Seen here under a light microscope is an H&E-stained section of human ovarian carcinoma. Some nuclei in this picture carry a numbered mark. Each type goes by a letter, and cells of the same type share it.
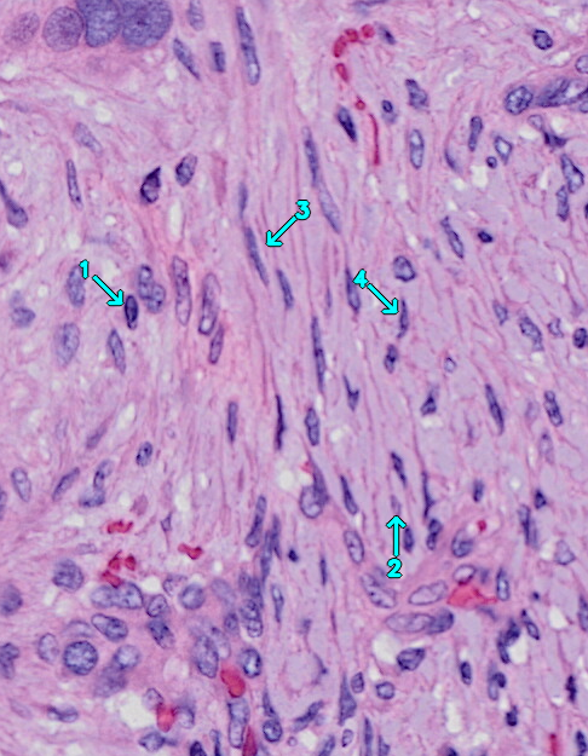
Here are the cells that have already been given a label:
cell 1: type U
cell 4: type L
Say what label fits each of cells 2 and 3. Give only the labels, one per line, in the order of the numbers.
type L
type L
